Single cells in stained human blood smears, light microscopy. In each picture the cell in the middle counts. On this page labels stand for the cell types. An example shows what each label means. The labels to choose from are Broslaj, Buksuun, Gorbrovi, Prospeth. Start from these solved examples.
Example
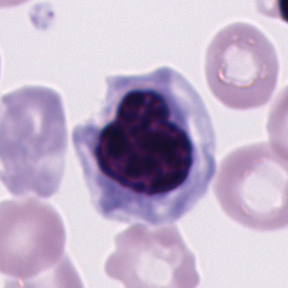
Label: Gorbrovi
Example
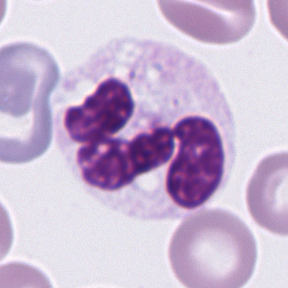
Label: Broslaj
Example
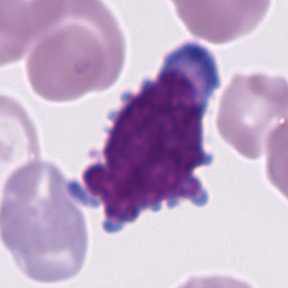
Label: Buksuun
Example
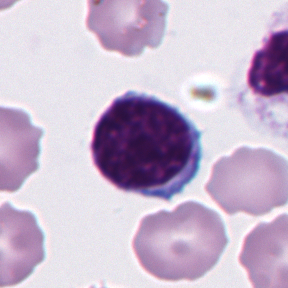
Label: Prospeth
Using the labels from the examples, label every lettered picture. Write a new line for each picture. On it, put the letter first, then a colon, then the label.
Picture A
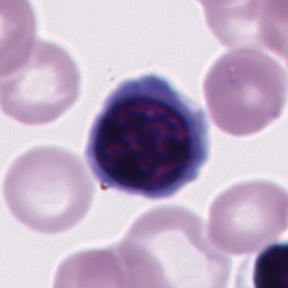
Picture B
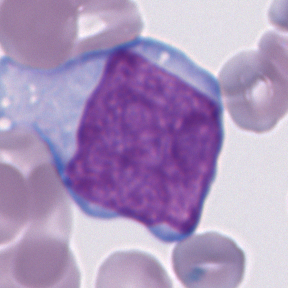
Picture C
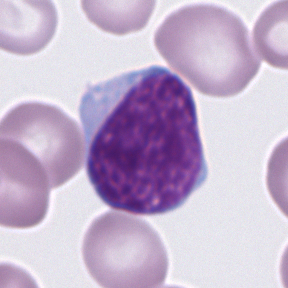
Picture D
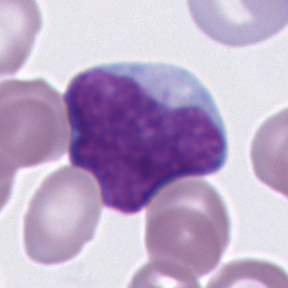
A: Gorbrovi
B: Buksuun
C: Prospeth
D: Buksuun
